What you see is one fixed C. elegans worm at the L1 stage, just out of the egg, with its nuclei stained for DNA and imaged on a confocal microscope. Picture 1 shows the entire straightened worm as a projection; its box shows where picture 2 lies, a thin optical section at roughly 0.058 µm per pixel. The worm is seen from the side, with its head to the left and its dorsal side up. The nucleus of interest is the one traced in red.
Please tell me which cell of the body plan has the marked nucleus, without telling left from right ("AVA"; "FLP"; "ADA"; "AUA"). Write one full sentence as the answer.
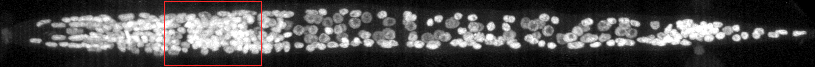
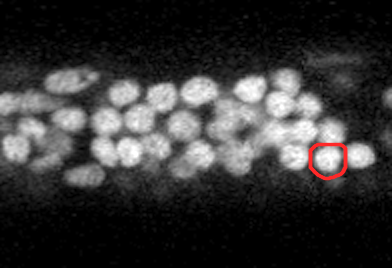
It is the nucleus of FLP, a neuron.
